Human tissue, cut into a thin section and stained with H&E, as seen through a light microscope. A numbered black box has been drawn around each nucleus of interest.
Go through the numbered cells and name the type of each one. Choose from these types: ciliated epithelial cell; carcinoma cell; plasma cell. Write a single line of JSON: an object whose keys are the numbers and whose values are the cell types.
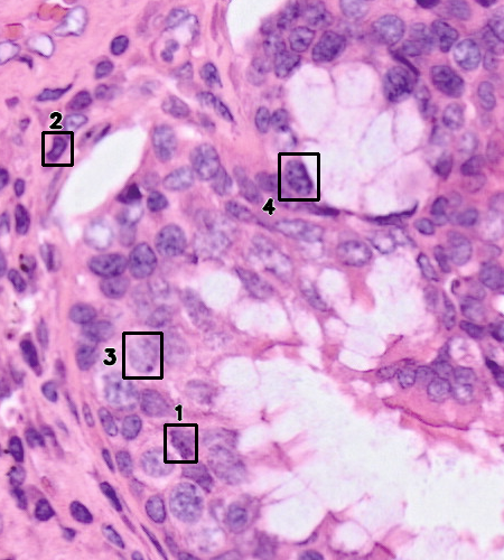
{"1": "ciliated epithelial cell", "2": "plasma cell", "3": "ciliated epithelial cell", "4": "ciliated epithelial cell"}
